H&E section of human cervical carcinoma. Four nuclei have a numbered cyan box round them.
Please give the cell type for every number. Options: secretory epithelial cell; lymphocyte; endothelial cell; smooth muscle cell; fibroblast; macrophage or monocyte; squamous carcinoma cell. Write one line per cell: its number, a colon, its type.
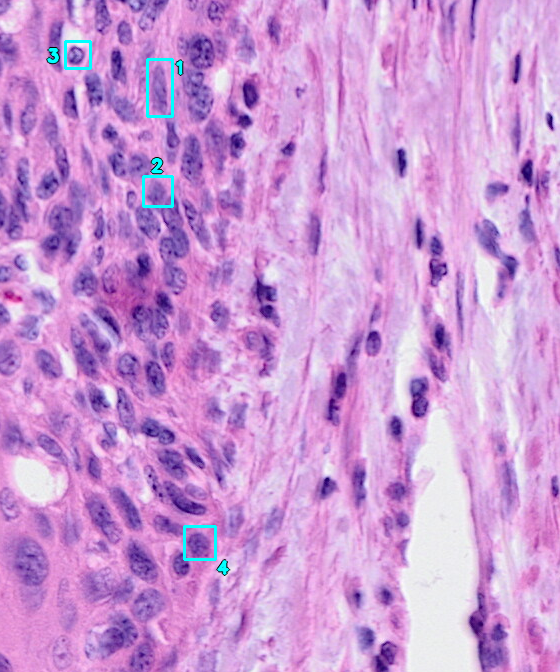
1: squamous carcinoma cell
2: squamous carcinoma cell
3: lymphocyte
4: squamous carcinoma cell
